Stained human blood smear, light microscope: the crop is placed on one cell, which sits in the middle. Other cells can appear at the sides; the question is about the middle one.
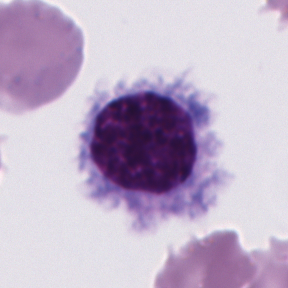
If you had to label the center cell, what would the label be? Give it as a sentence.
Whatever else lies nearby, the middle cell is a hairy cell.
